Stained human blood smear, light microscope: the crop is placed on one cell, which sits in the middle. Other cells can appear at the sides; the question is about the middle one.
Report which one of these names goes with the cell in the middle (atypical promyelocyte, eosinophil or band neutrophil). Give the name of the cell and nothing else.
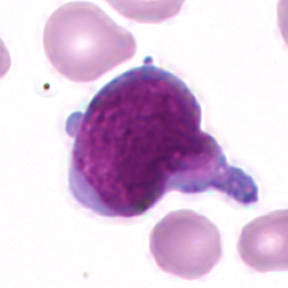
atypical promyelocyte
